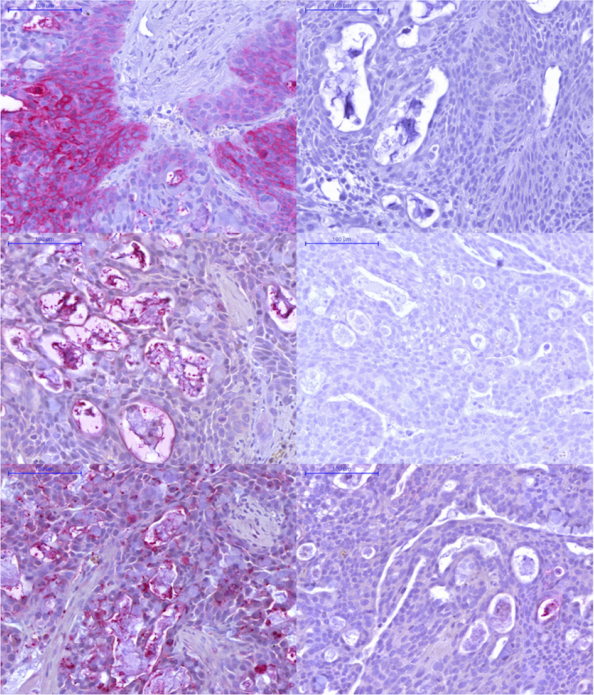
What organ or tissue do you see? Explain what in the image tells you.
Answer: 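Densely packed sheets of atypical epithelial cells with crowded nuclei. Irregular gland-like lumina containing debris. Thin strands of stroma between cell nests. So: tumors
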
